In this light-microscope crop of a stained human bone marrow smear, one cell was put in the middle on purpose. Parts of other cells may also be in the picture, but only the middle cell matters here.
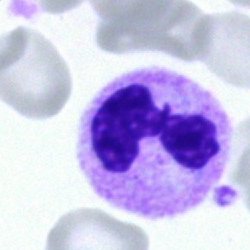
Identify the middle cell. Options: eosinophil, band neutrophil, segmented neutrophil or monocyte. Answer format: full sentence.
Of the cells in this crop, the central one is a segmented neutrophil.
